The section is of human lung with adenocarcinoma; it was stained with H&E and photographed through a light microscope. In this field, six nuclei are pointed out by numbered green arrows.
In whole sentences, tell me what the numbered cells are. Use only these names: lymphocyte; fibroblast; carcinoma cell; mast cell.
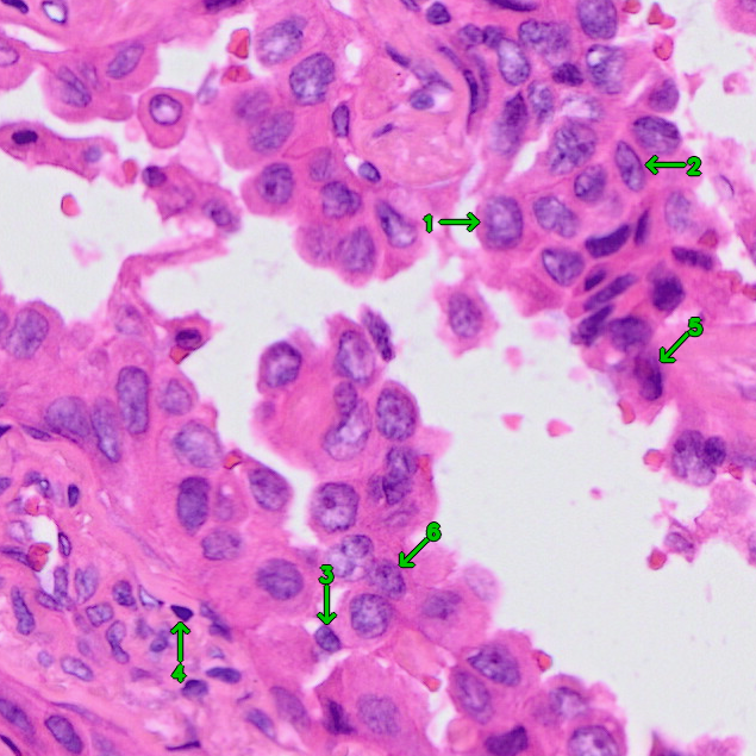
Cells 1, 2, 5 and 6 are carcinoma cells. Cells 3 and 4 are lymphocytes.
